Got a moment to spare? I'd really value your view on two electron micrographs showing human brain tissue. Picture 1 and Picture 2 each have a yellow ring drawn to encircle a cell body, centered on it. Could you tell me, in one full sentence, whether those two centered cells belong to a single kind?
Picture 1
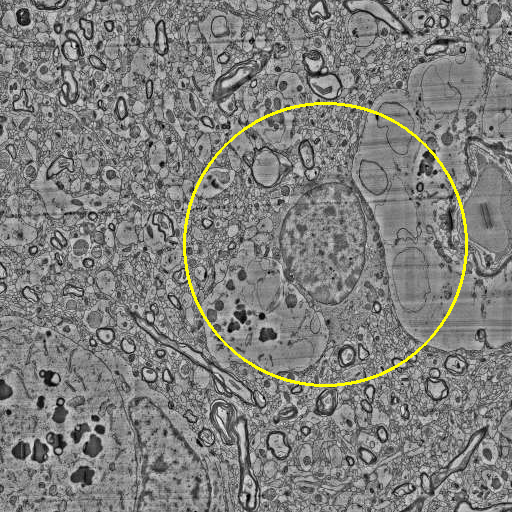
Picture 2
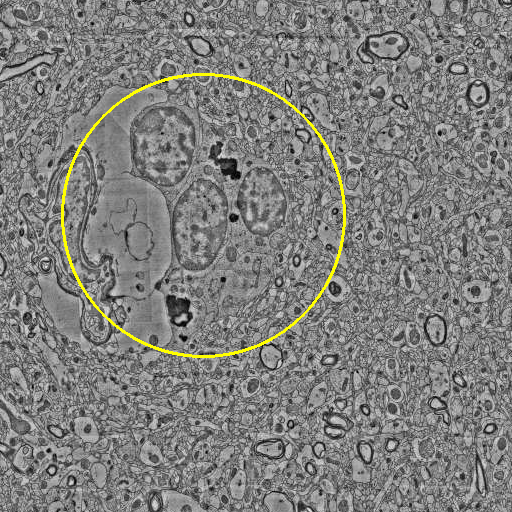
Yes, the two centered cells in Picture 1 and Picture 2 are of a single kind.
